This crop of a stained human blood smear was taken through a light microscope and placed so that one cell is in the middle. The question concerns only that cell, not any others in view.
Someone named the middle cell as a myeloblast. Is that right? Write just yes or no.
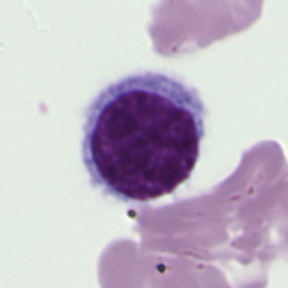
no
